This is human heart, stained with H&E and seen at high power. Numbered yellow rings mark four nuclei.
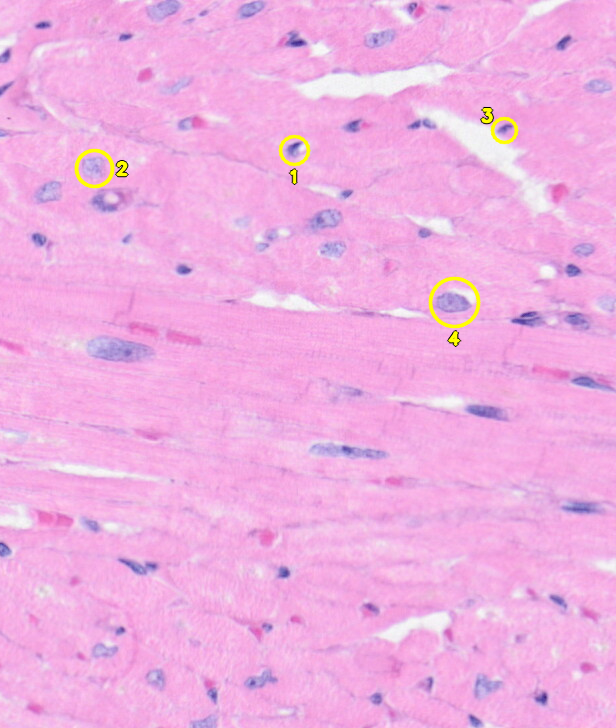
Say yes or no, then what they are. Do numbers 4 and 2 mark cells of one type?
Yes, cell 4 is among the cardiomyocytes, and cell 2 is as well.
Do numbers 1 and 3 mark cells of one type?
Yes, that is correct, cells 1 and 3 are both endothelial cells.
